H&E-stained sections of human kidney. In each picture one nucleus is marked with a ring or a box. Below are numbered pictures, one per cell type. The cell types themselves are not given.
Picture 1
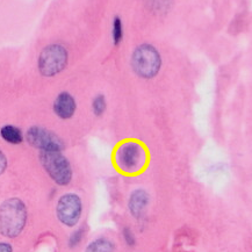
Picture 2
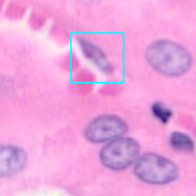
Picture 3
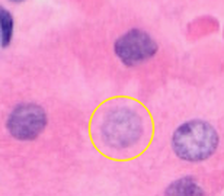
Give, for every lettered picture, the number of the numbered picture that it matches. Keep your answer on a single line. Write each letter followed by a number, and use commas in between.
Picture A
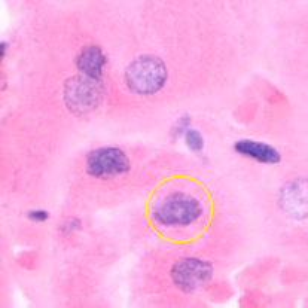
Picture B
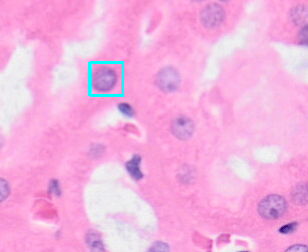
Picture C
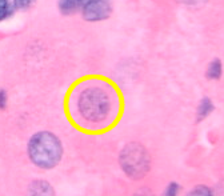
A 3, B 3, C 3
